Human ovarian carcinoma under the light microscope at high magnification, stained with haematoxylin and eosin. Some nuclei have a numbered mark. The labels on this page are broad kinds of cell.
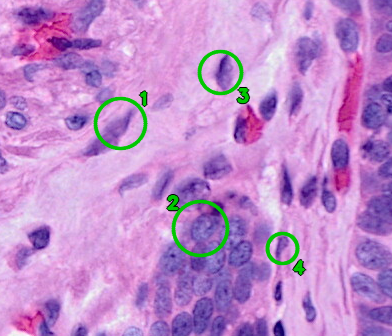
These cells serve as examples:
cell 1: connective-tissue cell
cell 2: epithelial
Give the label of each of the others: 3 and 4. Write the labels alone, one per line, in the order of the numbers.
connective-tissue cell
connective-tissue cell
